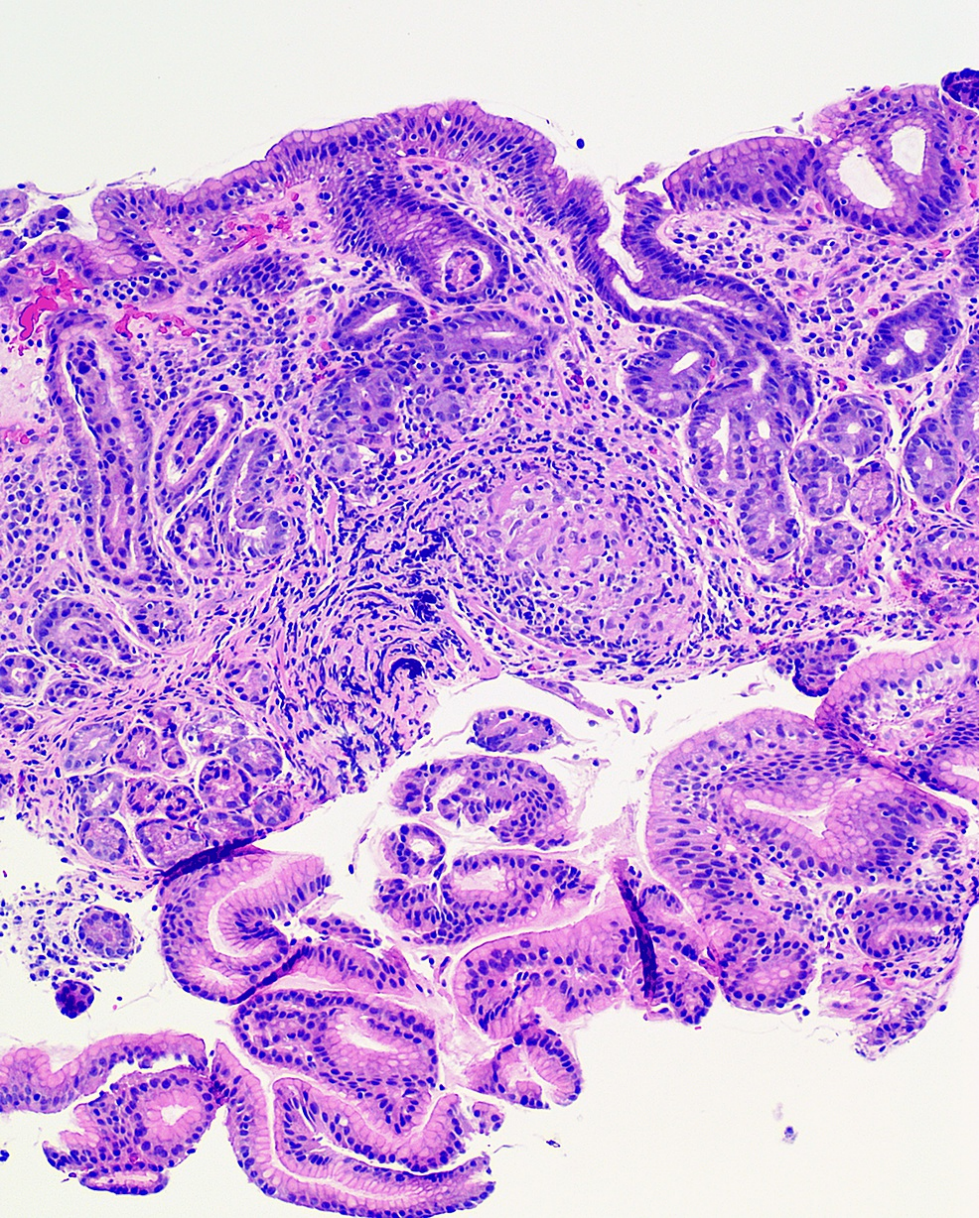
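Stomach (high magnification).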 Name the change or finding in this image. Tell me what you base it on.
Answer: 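A rounded, well-circumscribed nodule of pale pink cells lies in the center of the mucosa. The center of the nodule shows no necrotic debris. A rim of small dark lymphoid cells surrounds the nodule. The answer: noncaseating granuloma.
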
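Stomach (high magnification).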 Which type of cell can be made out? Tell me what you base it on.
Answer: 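Epithelioid histiocytes. The nodule is made of plump cells with abundant pale pink cytoplasm. These cells have ill-defined borders and oval, pale nuclei.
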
